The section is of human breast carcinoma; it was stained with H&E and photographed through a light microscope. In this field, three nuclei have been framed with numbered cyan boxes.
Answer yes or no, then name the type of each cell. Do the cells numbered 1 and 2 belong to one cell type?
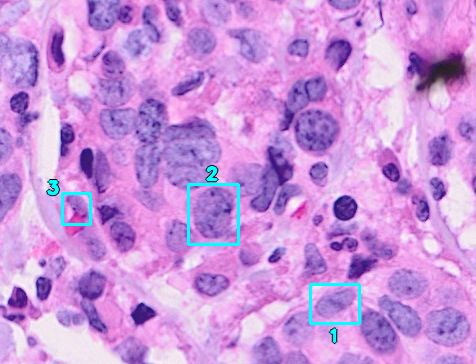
Yes, the two numbered cells, 1 and 2, are both carcinoma cells.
